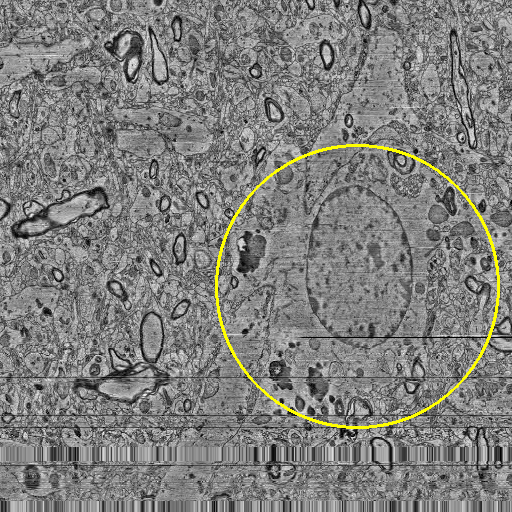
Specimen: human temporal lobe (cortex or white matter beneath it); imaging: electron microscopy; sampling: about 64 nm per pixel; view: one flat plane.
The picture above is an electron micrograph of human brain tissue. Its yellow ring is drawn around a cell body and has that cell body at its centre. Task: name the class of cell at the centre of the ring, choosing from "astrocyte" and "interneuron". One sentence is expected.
The ring surrounds the body of an astrocyte.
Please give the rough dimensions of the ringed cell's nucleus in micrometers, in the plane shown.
About 11 by 7 micrometers in this plane, so the nucleus is clearly longer than it is wide.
